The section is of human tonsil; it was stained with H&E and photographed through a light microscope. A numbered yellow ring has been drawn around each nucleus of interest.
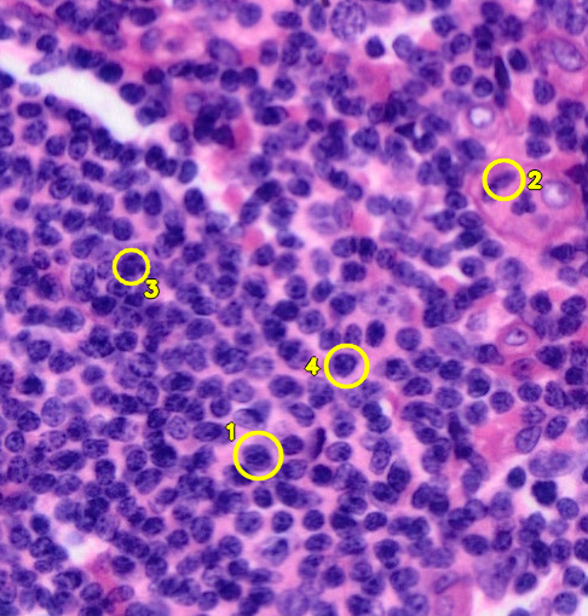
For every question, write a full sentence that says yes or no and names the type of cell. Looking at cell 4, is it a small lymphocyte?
Yes, the cell that has number 4 is a small lymphocyte.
